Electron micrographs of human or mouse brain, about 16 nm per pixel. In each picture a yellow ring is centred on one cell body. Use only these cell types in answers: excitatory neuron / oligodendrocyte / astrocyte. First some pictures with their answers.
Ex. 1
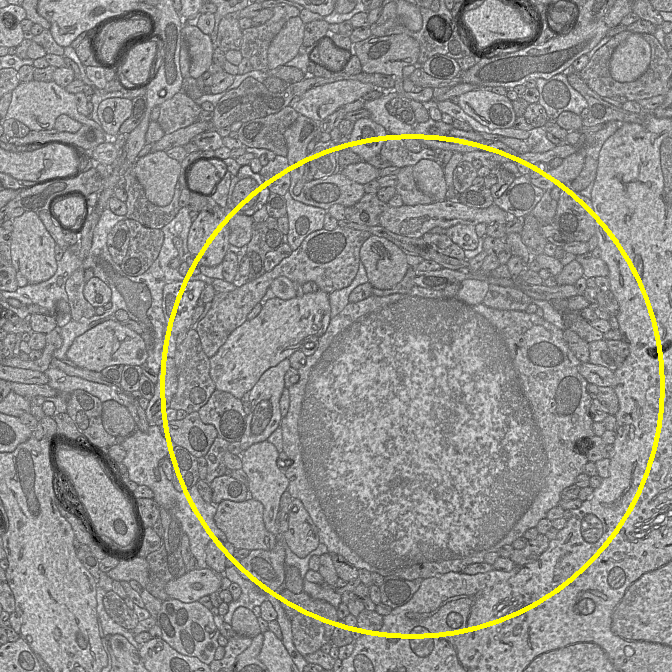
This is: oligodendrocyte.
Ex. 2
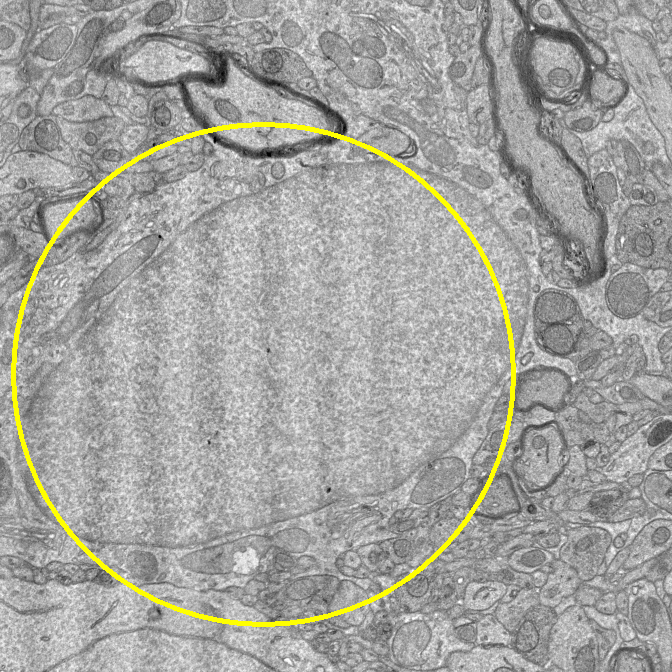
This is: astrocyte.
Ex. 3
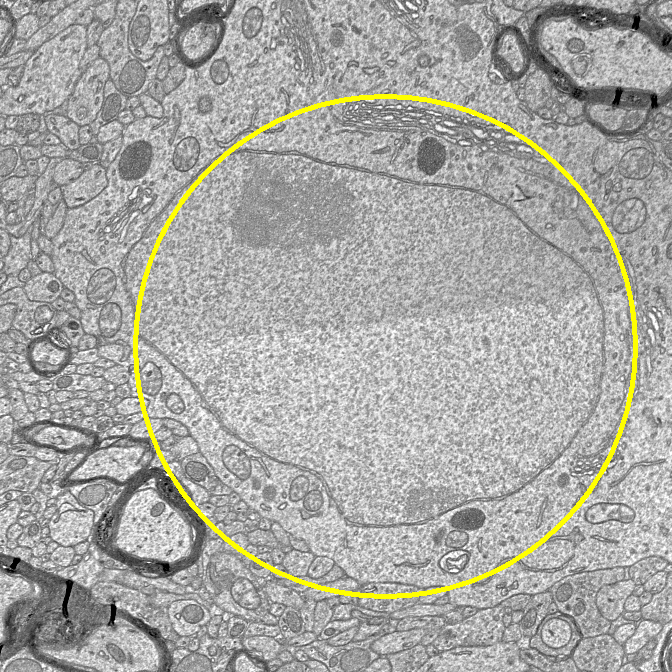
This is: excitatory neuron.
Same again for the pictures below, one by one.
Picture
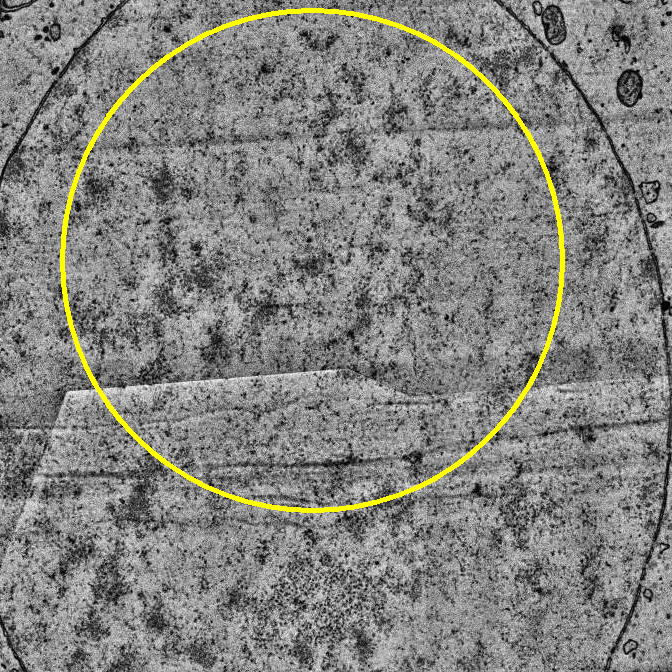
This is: excitatory neuron.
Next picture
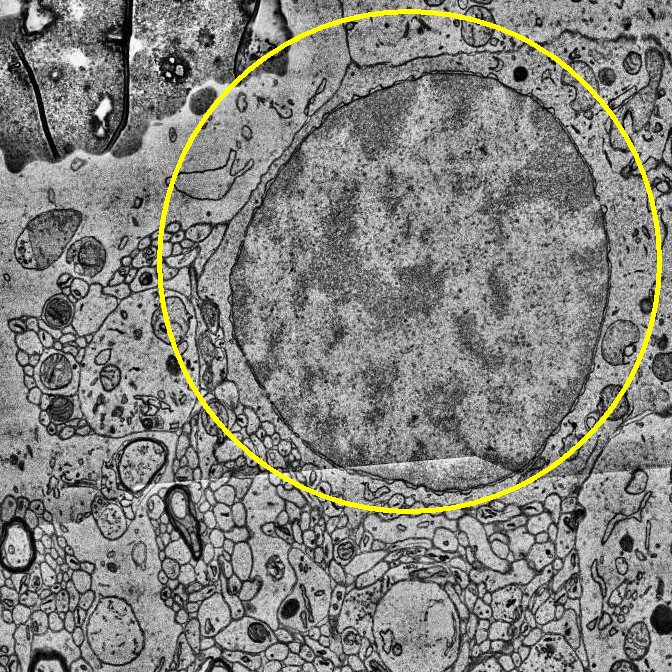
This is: oligodendrocyte.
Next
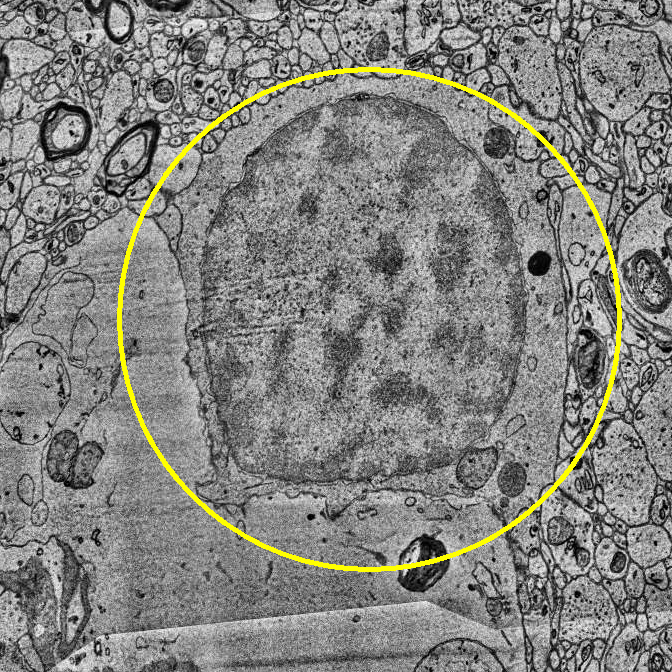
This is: oligodendrocyte.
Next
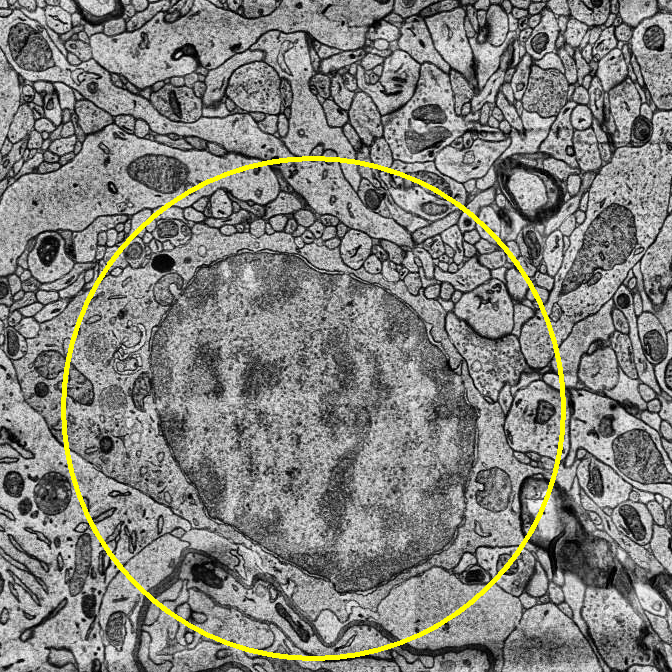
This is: oligodendrocyte.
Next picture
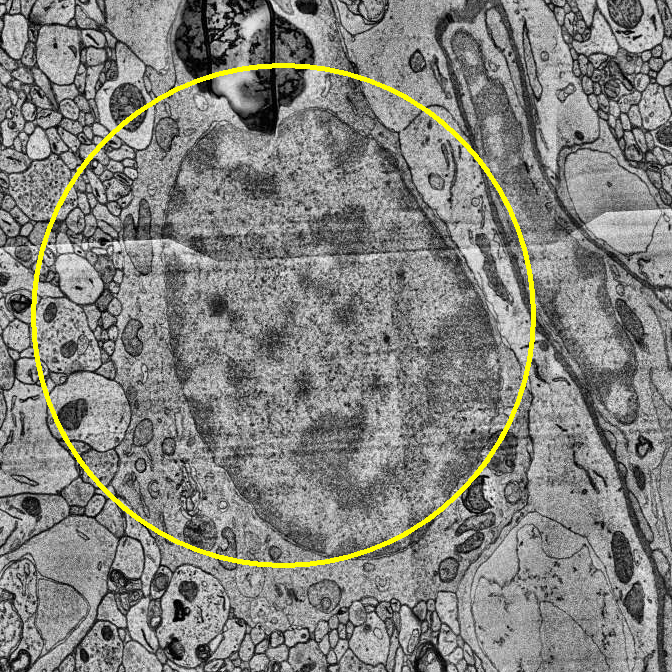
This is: oligodendrocyte.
